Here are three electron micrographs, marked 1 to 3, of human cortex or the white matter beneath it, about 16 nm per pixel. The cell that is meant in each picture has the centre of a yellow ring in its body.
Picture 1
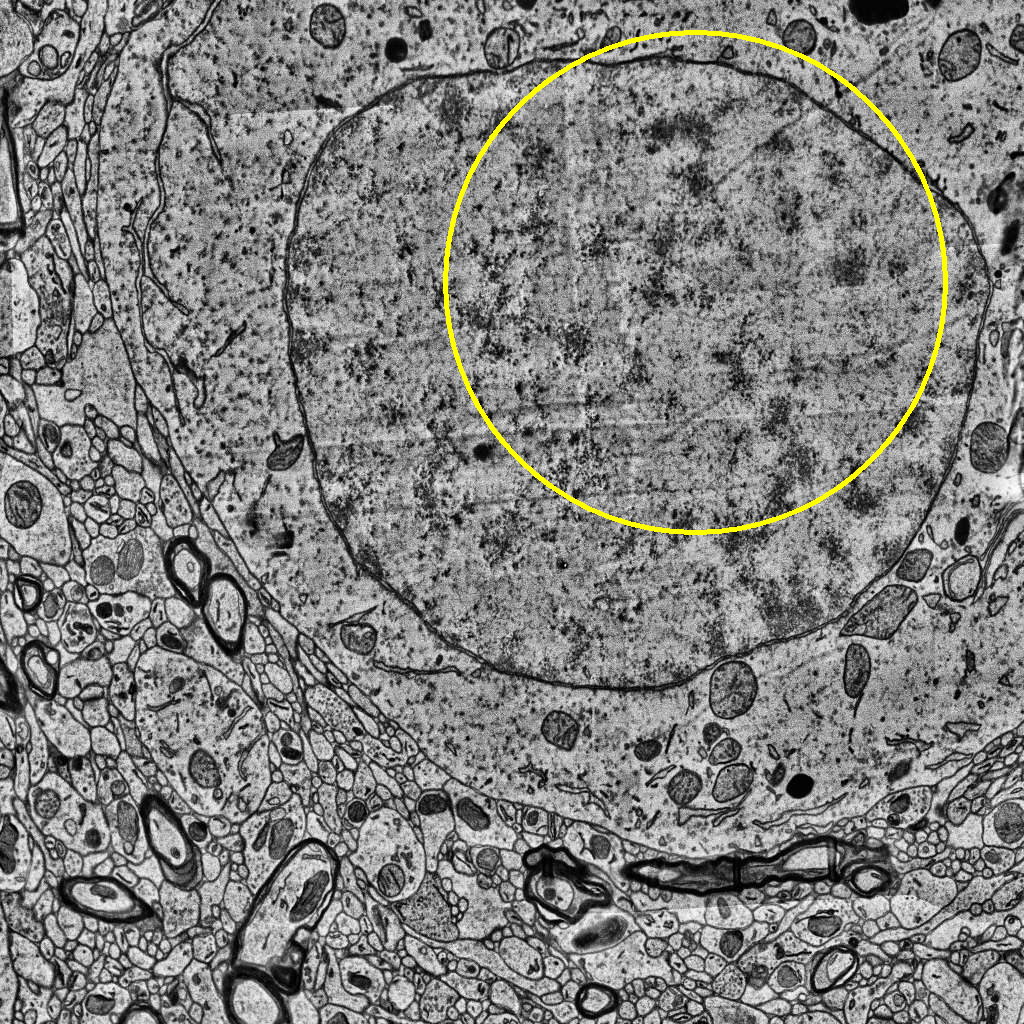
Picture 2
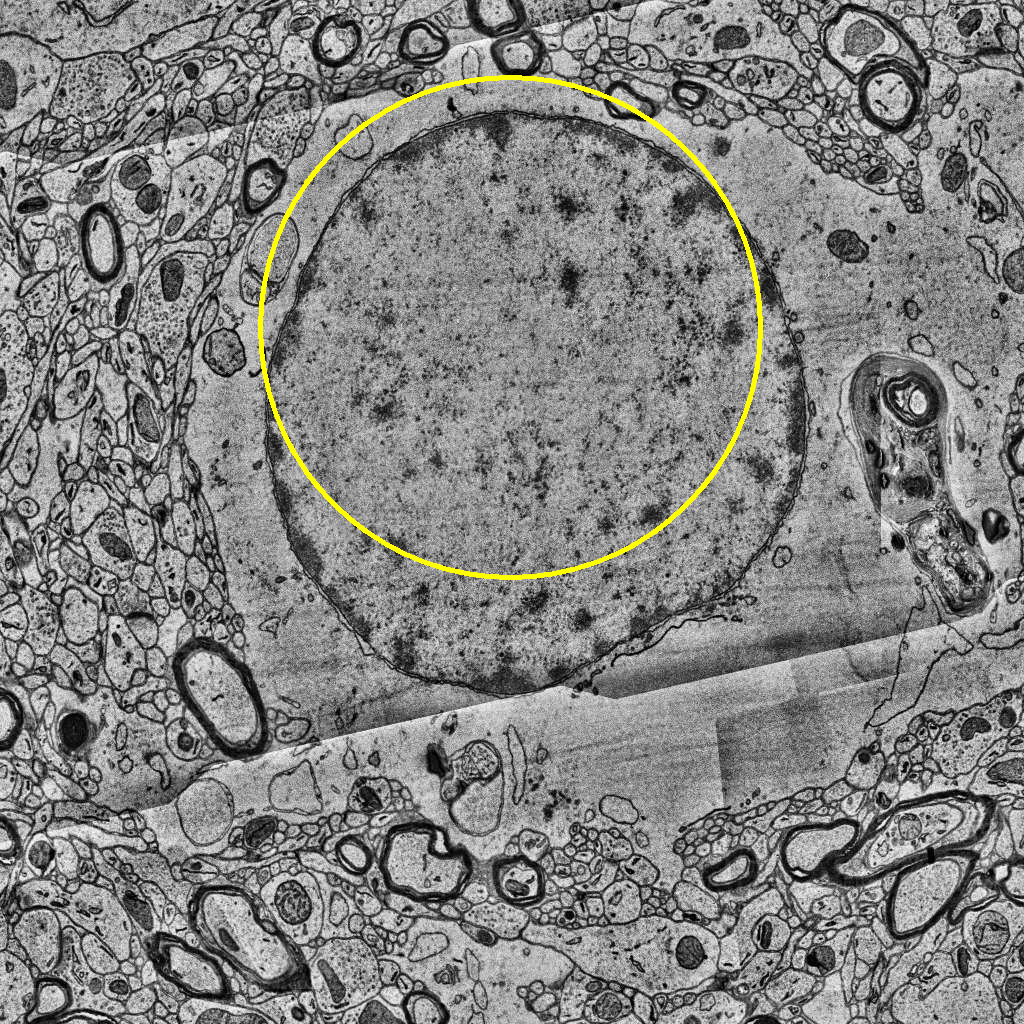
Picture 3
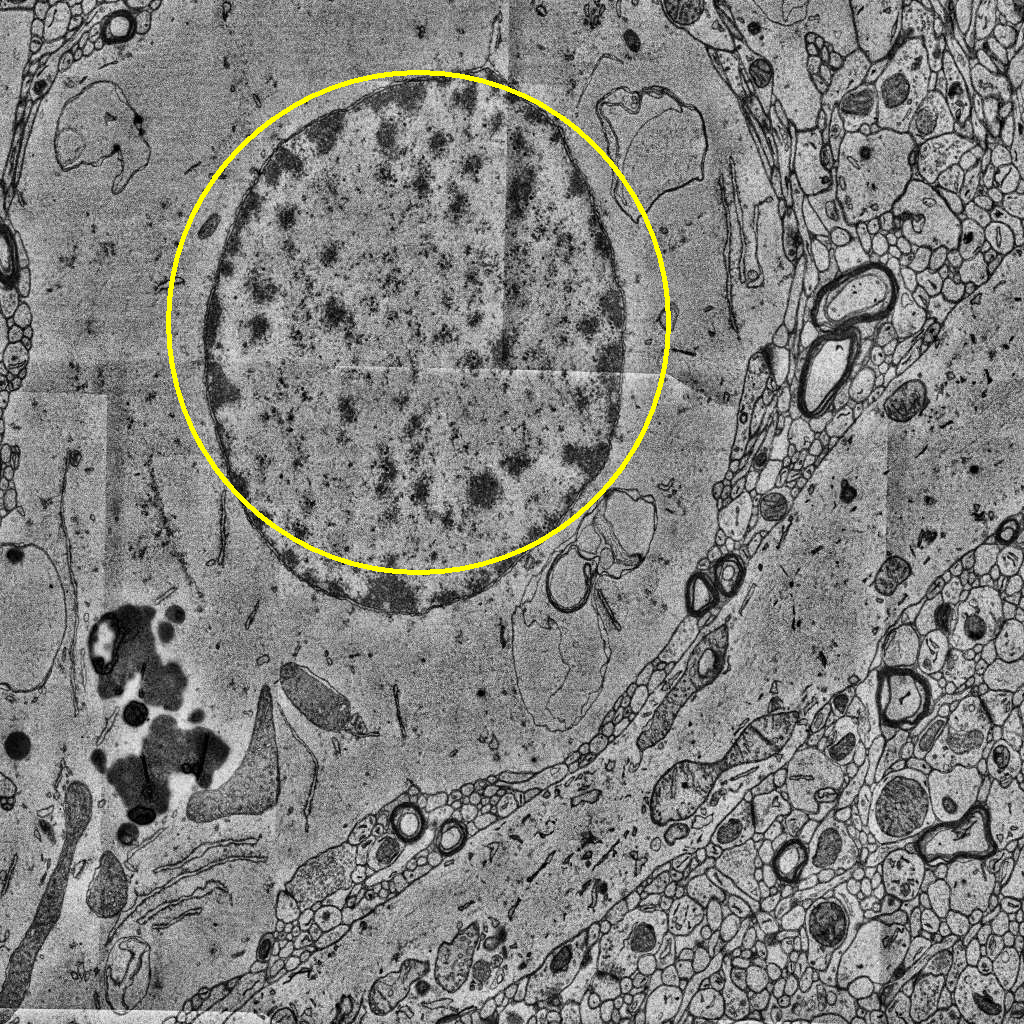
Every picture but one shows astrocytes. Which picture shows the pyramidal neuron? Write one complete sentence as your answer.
The picture with the pyramidal neuron is 1.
